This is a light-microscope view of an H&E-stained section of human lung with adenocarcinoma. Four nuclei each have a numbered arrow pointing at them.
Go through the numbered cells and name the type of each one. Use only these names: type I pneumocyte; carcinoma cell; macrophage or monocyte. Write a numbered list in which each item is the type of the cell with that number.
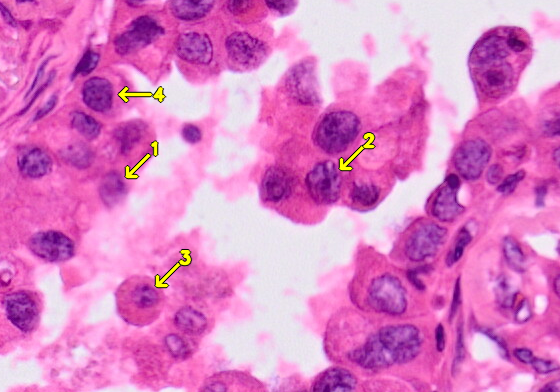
1. carcinoma cell
2. carcinoma cell
3. macrophage or monocyte
4. carcinoma cell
